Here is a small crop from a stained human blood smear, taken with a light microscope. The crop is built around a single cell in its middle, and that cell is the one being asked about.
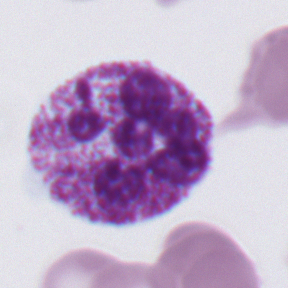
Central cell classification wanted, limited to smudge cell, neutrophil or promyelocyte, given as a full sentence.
The middle position in this crop is taken by a neutrophil.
